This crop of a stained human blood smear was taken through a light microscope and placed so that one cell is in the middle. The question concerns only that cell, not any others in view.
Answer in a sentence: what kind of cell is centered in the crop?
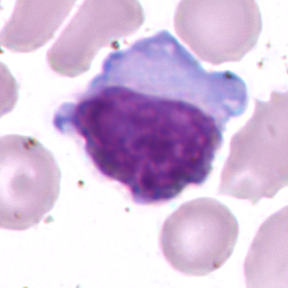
The middle of this crop is occupied by a plasma cell.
